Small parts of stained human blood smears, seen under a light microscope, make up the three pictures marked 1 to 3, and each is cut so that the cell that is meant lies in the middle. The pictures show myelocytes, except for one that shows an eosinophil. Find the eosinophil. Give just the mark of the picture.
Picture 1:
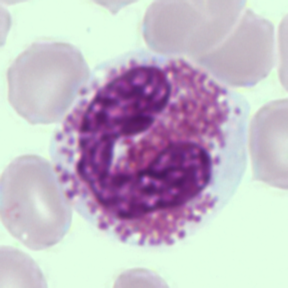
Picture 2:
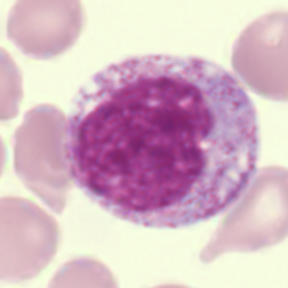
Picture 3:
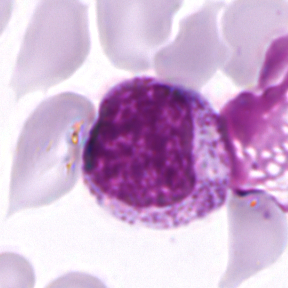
1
